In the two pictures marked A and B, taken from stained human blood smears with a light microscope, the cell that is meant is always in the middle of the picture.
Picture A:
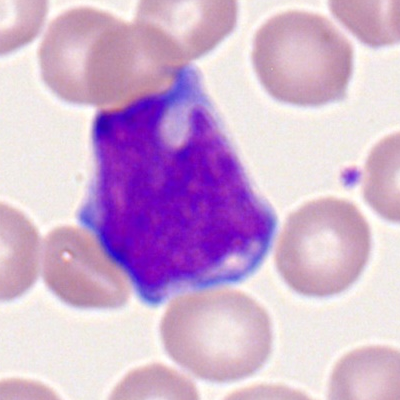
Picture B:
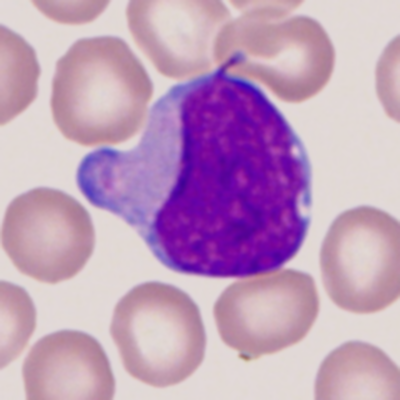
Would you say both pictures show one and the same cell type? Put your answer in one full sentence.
Yes; the cells in both pictures are myeloblasts.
